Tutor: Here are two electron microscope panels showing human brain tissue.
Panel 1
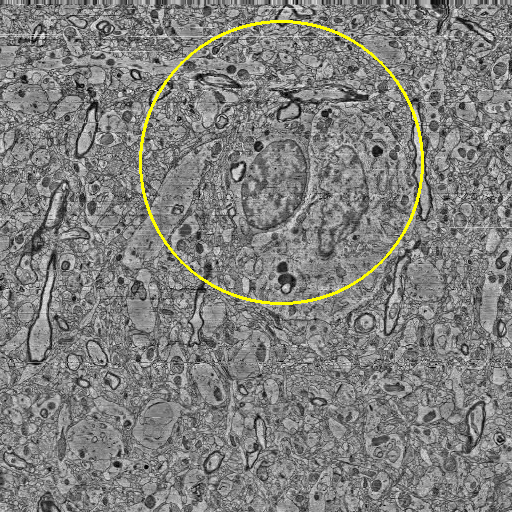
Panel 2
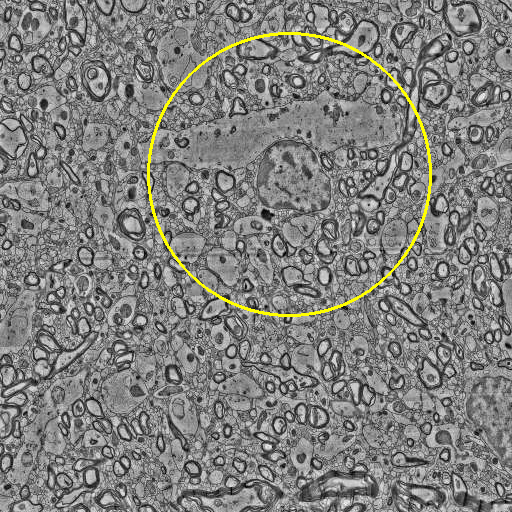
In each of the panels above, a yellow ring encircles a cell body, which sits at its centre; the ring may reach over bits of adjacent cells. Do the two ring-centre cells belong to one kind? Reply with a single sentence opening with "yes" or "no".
No, the two cells sitting at the ring centres in the panels belong to two kinds.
